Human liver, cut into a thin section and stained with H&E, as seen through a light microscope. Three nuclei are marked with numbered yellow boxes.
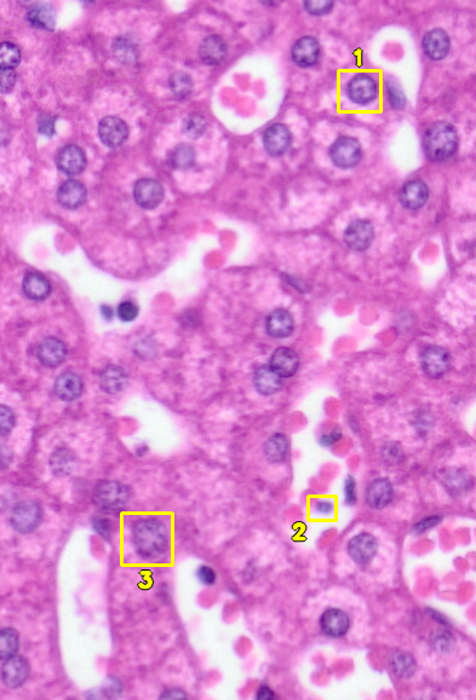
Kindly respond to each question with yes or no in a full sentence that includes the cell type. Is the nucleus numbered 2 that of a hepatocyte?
No, the cell denoted 2 is a lymphocyte rather than a hepatocyte.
